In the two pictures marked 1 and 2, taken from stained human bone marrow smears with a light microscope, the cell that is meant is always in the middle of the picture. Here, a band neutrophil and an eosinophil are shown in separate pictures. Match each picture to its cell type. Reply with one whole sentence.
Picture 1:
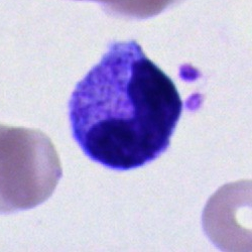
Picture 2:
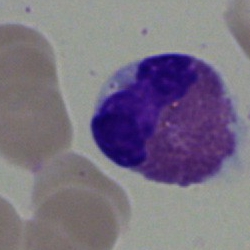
Picture 1 is of a band neutrophil, and picture 2 is of an eosinophil.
